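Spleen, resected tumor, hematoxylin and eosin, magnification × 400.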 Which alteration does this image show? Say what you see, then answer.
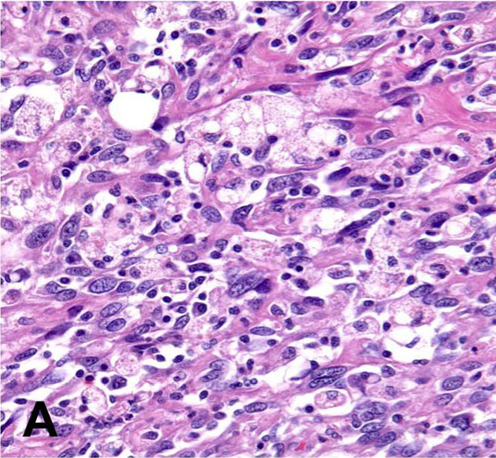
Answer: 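Nuclei of the large cells vary clearly in size. Nuclei have coarse chromatin.
Conclusion: anisokaryosis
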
